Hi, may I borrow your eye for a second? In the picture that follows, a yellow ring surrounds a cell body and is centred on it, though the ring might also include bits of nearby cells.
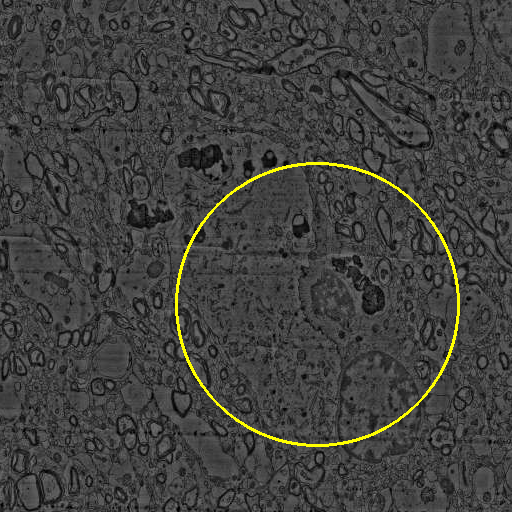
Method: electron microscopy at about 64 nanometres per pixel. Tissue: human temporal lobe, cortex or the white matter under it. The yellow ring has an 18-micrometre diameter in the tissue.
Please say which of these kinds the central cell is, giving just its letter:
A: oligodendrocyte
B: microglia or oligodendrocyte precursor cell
A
